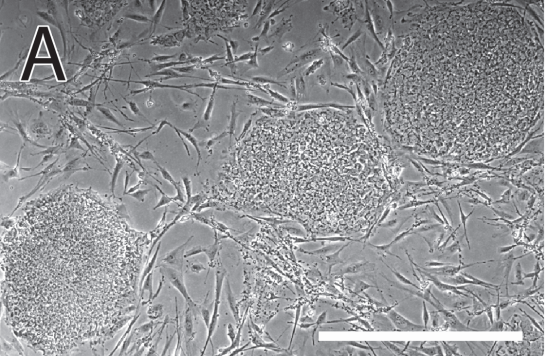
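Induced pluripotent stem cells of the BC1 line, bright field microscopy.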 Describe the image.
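Several large, roughly round colonies of small, tightly packed cells sit within a sheet of other cells. Between the colonies lie elongated spindle-shaped cells with long thin extensions, spread flat and crossing one another. The colonies have fairly sharp borders against this surrounding layer. These are undifferentiated stem cell colonies growing on a fibroblast feeder layer.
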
